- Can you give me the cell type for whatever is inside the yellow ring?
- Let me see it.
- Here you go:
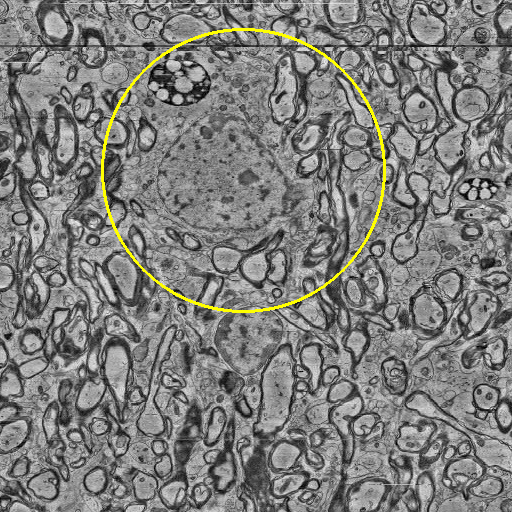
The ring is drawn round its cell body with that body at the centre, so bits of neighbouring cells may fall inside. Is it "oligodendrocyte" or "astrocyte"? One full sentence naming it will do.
The cell body in the middle of the ring in this picture belongs to an astrocyte.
